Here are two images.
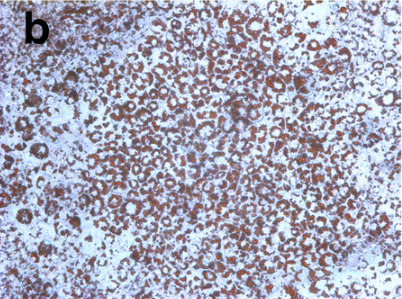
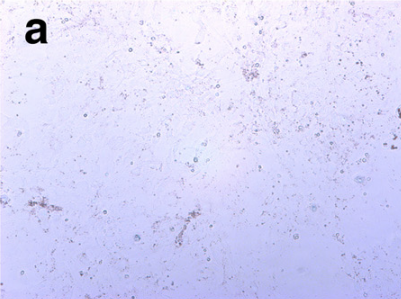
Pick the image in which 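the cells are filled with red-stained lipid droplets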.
the first image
